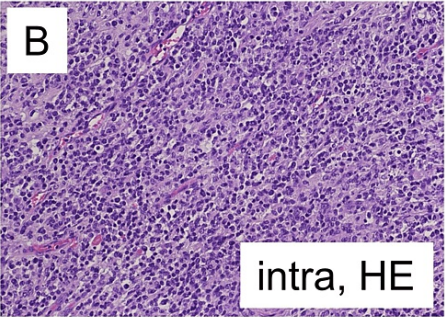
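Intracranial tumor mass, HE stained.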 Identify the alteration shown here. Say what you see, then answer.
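Sheets of closely packed cells cover the field. Only thin strands of pink stroma and small vessels separate them.
Hence: high cellularity.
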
